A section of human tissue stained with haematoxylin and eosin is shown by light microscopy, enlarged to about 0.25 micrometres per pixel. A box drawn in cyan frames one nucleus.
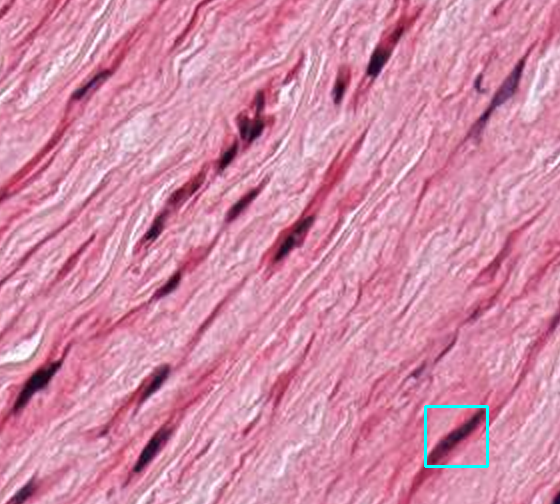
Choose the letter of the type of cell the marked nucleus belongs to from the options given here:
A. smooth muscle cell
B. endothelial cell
A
